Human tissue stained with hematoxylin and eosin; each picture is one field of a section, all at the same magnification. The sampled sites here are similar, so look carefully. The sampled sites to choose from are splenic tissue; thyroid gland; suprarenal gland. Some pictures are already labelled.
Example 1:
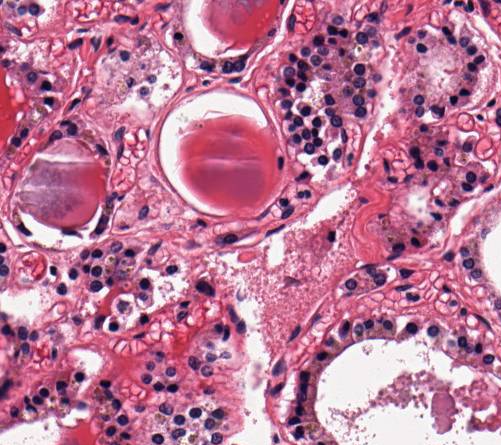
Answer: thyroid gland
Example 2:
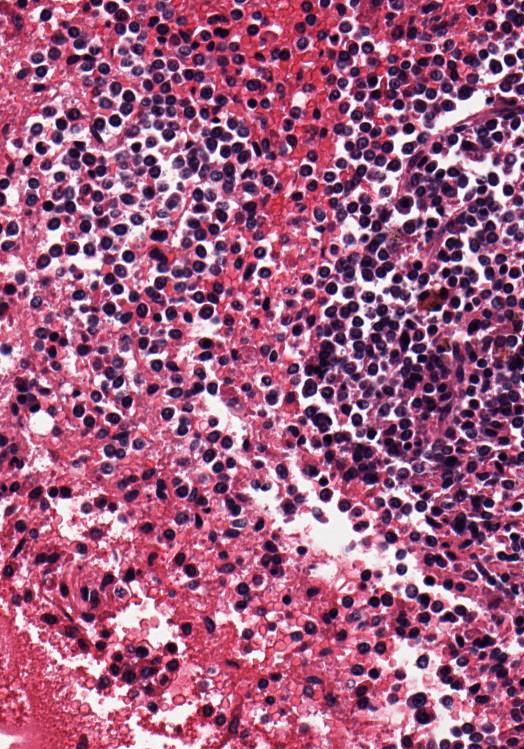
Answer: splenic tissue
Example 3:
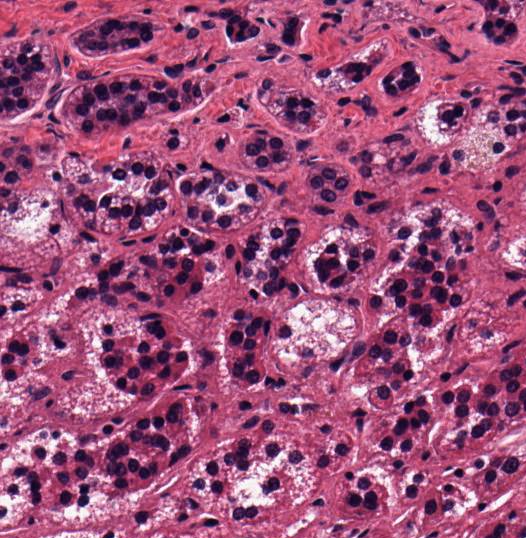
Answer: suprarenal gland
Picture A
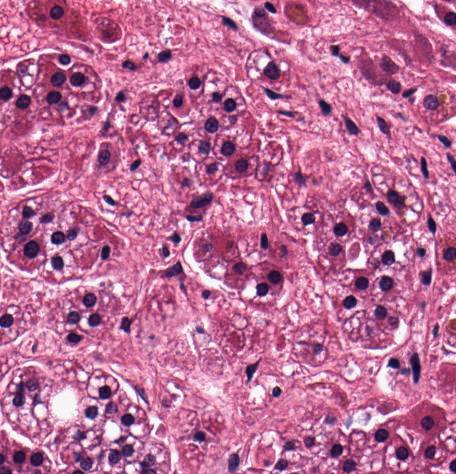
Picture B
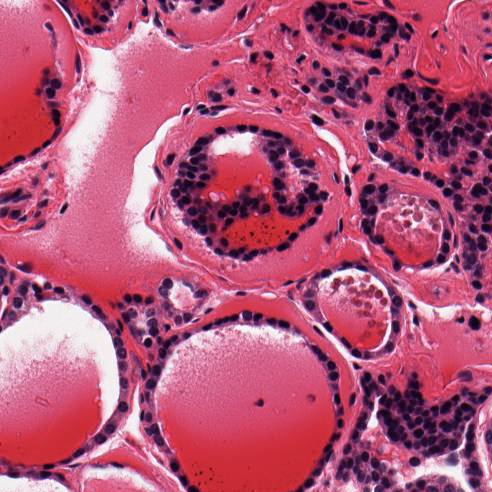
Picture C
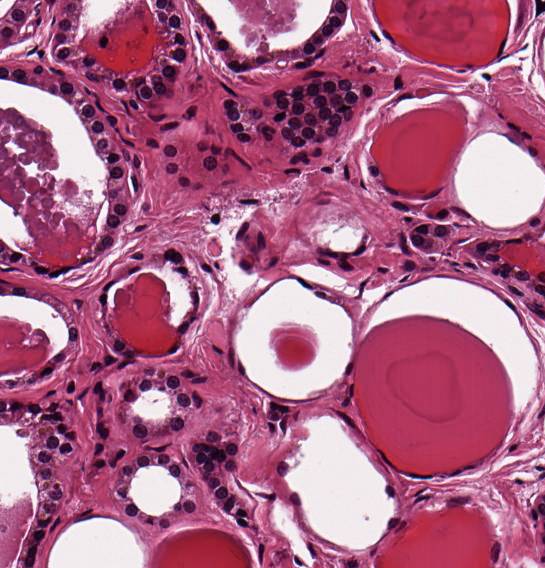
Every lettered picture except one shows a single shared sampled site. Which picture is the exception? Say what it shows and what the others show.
Exception: A, showing suprarenal gland. Remaining pictures: thyroid gland.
